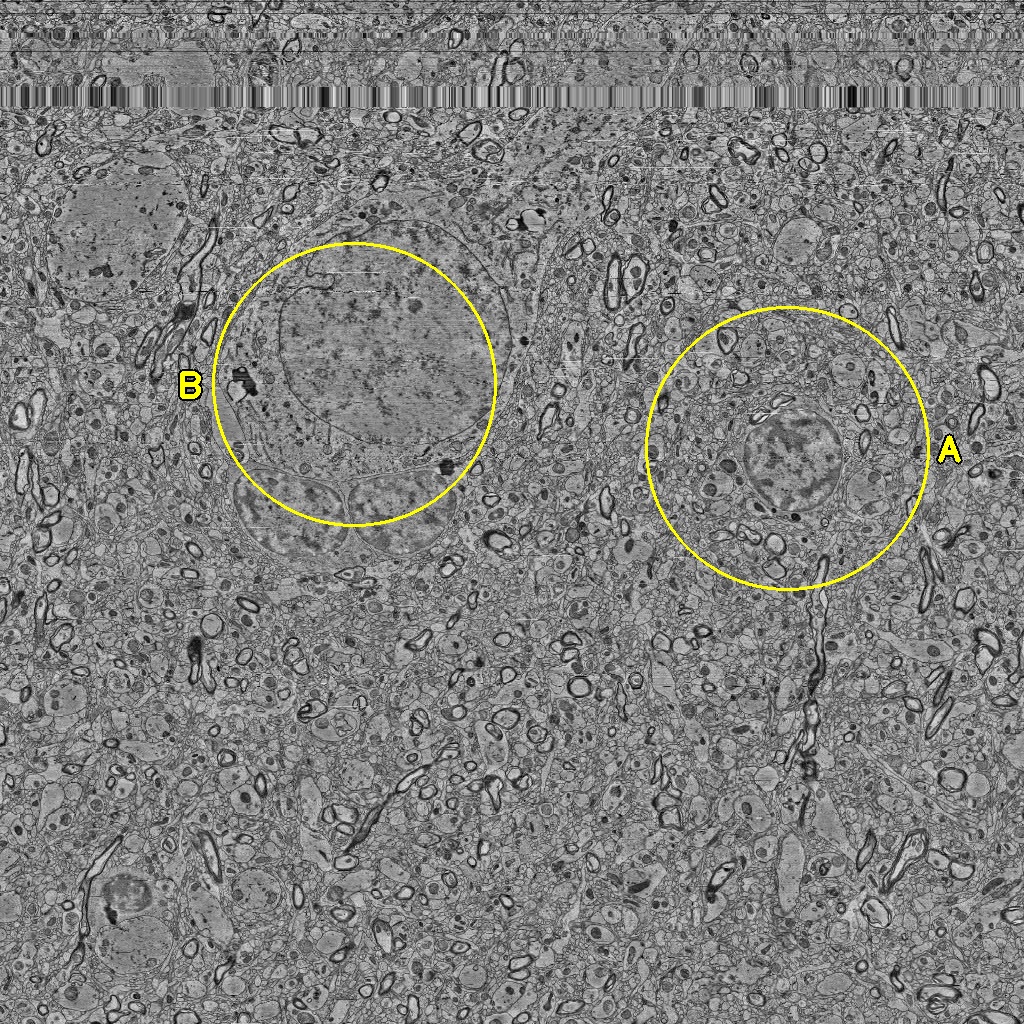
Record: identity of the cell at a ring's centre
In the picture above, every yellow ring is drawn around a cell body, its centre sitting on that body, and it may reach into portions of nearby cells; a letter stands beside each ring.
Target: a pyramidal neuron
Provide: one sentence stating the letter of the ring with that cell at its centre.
The letter of the ring centred on a cell of that kind is B.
